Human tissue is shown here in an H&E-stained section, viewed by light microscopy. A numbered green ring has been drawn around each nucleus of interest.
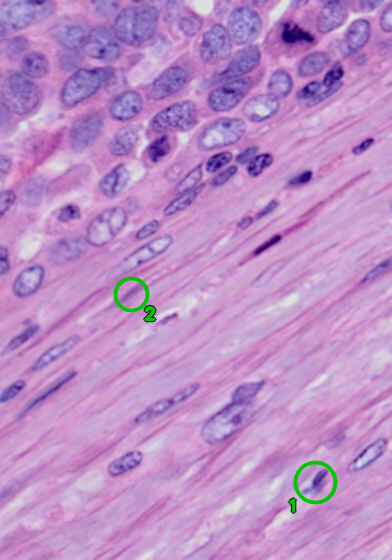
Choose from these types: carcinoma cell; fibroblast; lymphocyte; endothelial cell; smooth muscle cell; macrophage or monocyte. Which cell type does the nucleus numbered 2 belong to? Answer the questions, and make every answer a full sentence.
Corresponding to a fibroblast is the cell labelled 2.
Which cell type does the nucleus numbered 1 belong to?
The cell pointed out as number 1 is a macrophage or monocyte.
